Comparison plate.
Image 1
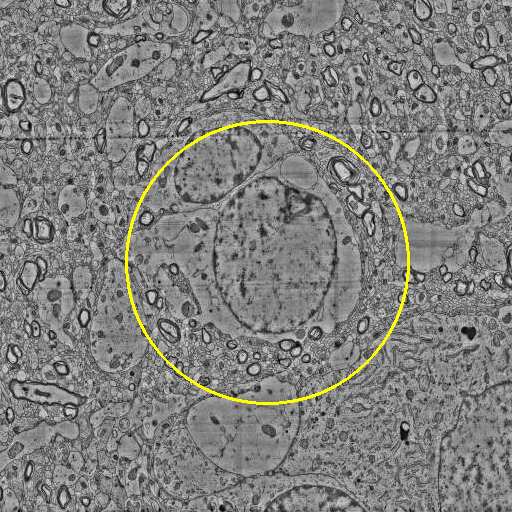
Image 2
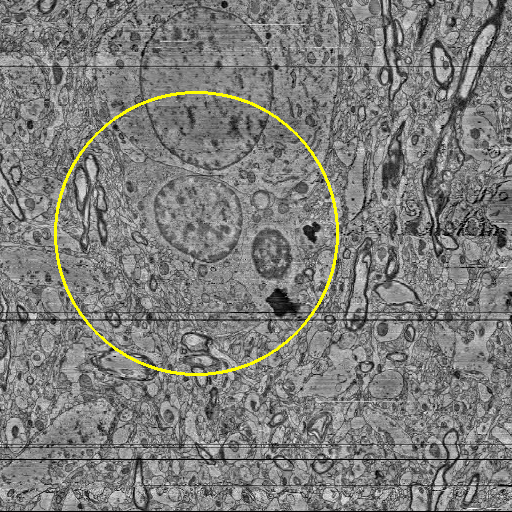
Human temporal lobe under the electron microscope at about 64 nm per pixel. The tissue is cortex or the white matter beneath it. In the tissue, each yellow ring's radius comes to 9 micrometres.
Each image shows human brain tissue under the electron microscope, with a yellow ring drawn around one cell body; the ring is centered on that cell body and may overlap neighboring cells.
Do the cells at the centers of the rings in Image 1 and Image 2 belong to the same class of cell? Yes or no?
no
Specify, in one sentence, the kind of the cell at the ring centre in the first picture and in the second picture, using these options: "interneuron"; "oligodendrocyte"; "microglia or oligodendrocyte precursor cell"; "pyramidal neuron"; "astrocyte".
So the first is an astrocyte, the second an oligodendrocyte.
